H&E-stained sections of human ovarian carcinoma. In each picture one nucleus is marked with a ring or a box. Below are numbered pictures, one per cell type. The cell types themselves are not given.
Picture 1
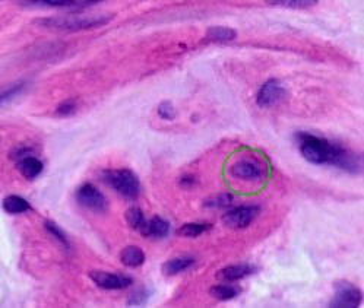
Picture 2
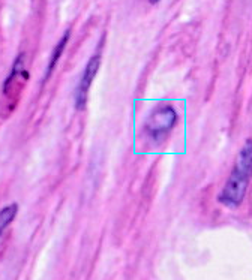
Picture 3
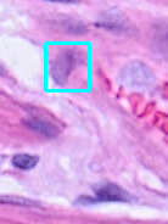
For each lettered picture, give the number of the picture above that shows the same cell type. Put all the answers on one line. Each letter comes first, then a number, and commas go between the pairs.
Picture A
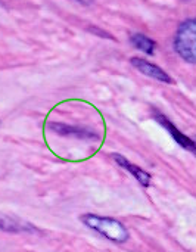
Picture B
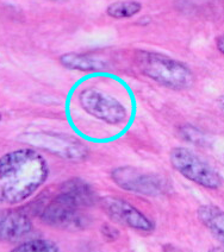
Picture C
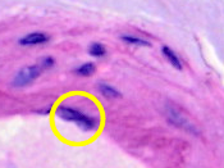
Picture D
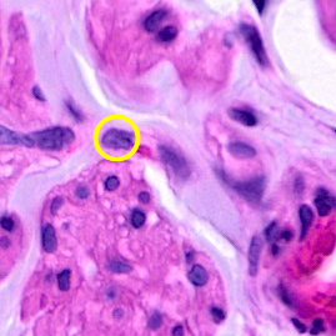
A 2, B 2, C 3, D 3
